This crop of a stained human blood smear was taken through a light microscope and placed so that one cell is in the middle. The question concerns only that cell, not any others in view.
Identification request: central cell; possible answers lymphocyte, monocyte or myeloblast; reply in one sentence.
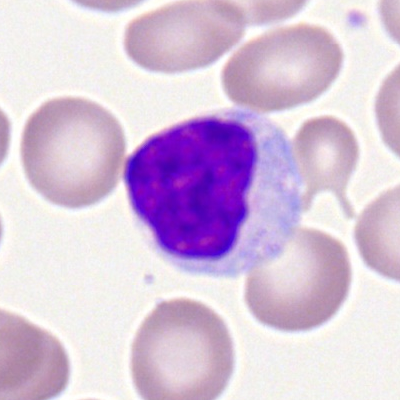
The middle of this crop holds a lymphocyte.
